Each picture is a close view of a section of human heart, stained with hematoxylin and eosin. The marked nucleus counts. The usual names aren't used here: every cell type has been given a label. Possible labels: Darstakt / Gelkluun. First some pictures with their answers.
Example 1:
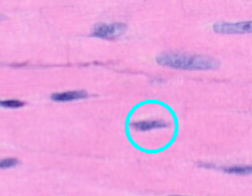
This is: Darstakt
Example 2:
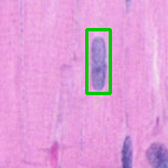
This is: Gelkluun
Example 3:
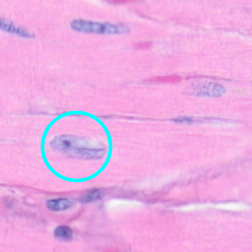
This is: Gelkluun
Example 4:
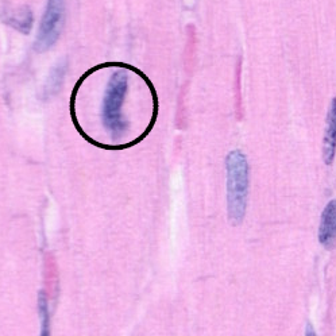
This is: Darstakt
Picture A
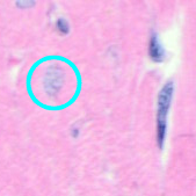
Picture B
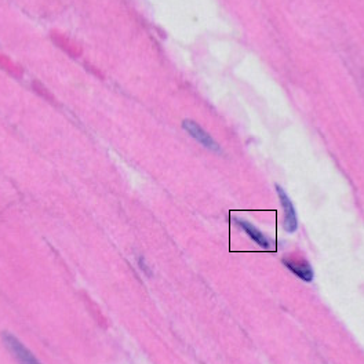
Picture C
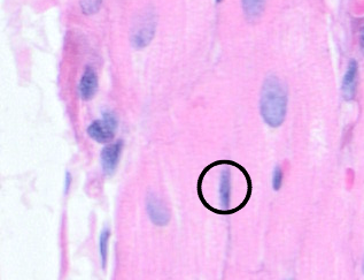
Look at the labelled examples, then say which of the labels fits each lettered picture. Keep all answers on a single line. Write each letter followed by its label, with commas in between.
A Gelkluun, B Darstakt, C Darstakt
